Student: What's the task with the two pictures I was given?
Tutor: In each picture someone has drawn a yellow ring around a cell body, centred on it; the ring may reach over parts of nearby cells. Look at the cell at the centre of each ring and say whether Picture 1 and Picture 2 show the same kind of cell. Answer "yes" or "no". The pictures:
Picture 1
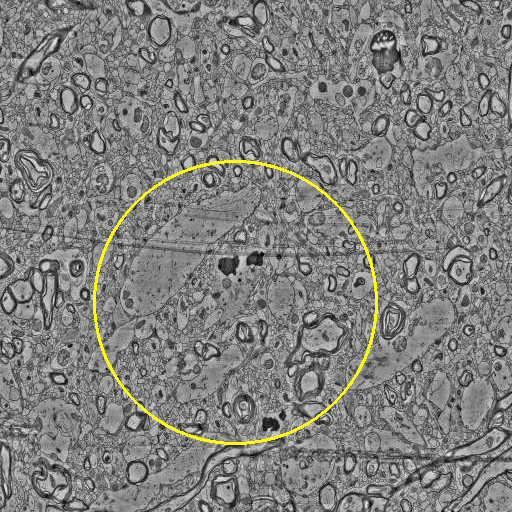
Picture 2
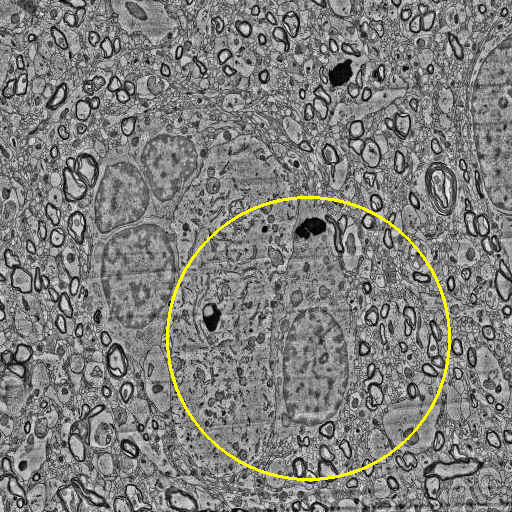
yes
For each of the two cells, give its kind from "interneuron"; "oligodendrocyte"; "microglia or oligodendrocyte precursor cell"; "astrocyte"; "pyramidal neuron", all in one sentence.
Each cell, in the first picture and the second, is an oligodendrocyte.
